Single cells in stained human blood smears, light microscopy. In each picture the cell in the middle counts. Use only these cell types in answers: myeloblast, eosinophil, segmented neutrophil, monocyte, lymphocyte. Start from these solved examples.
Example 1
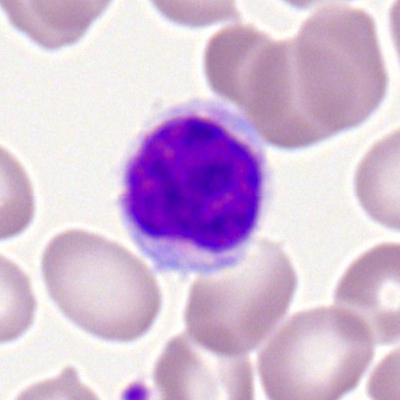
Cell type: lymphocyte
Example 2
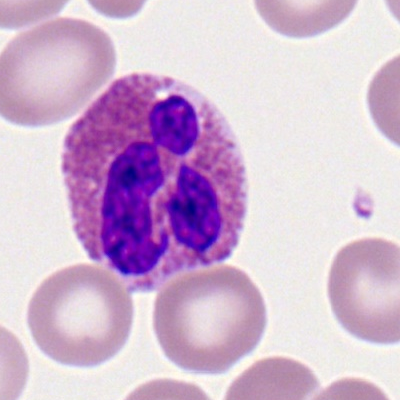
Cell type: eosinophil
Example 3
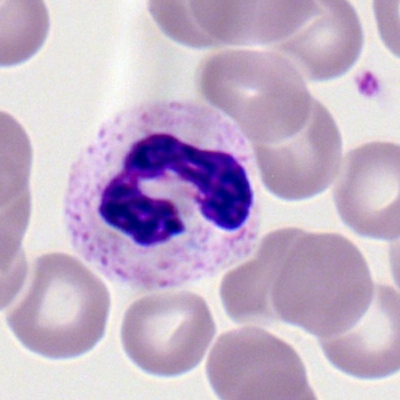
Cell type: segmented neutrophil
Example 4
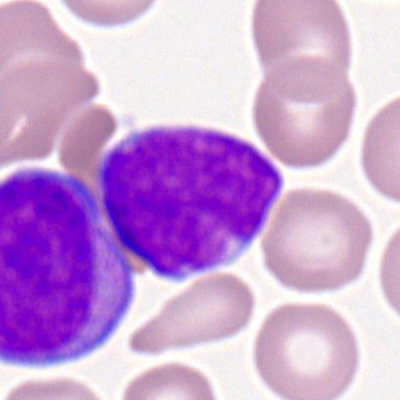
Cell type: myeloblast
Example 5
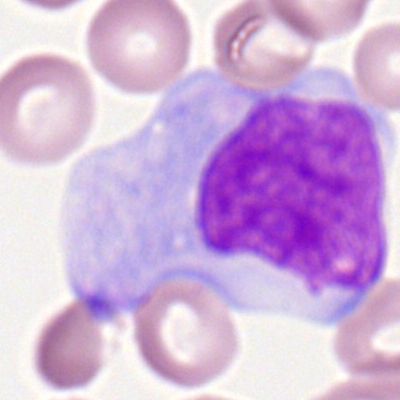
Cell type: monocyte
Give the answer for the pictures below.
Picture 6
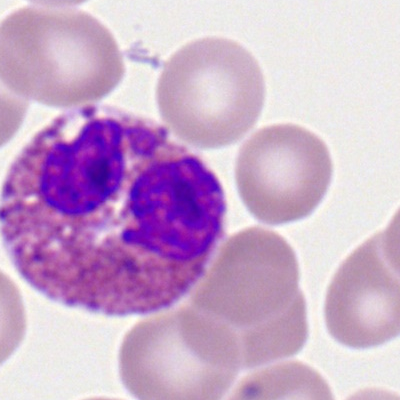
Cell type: eosinophil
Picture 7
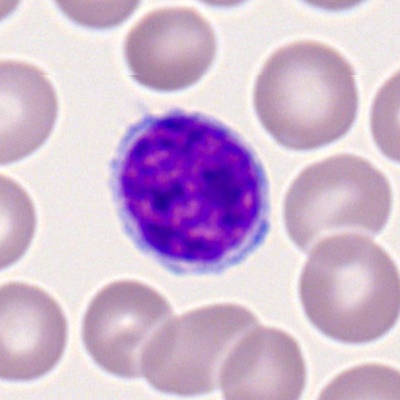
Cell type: lymphocyte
